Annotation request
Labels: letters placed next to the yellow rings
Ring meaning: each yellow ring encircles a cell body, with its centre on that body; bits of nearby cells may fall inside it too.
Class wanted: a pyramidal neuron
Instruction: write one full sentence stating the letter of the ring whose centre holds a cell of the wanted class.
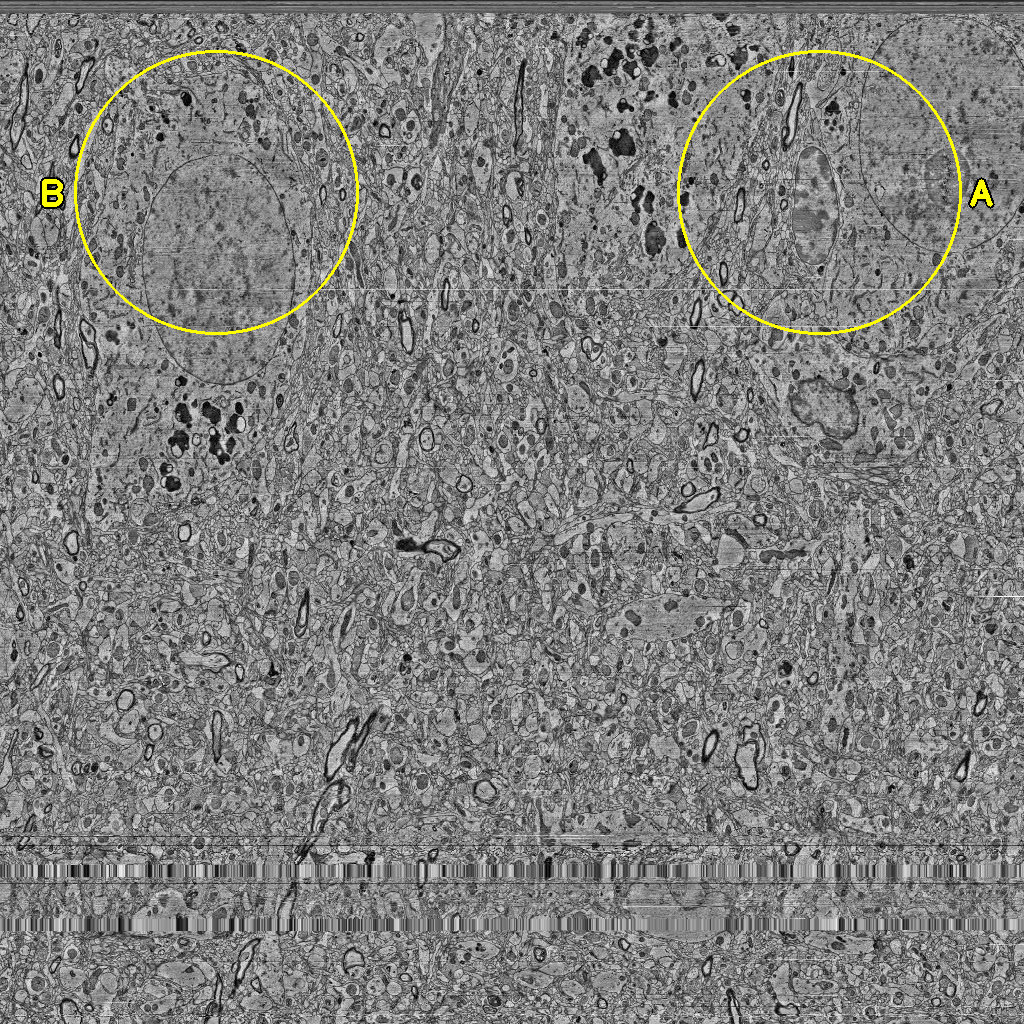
For this annotation, a cell of that kind sits at the centre of ring B.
